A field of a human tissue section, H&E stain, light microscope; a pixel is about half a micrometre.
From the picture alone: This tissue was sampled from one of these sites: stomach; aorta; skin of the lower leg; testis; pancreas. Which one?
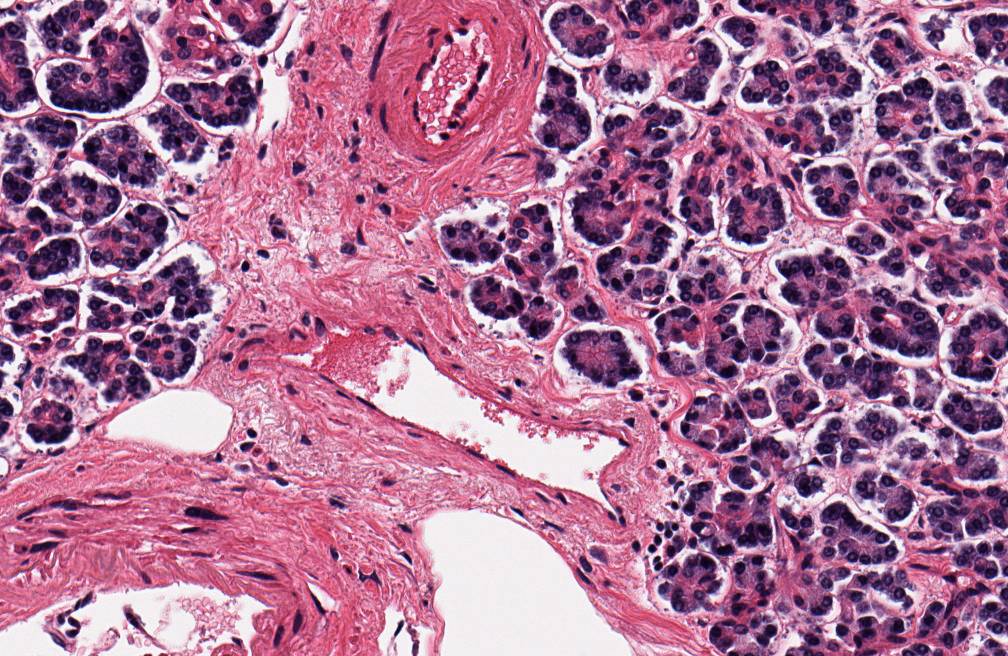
pancreas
